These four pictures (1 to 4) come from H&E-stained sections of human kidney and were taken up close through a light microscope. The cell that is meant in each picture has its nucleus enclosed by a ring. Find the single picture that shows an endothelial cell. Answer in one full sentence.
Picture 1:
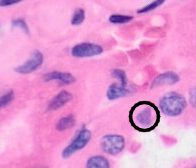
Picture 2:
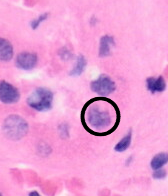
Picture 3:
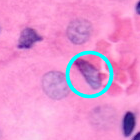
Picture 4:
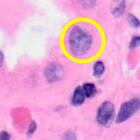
Picture 3 is the one that shows the endothelial cell.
